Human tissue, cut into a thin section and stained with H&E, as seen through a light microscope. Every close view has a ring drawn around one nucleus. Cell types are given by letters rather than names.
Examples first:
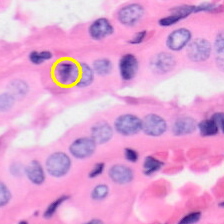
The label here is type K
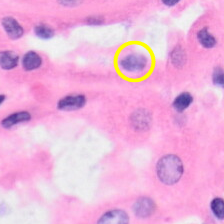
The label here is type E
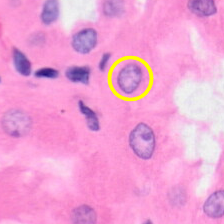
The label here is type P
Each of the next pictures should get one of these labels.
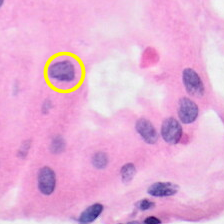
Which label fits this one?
type P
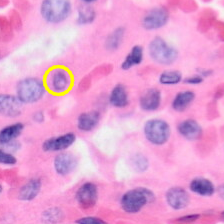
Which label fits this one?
type K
